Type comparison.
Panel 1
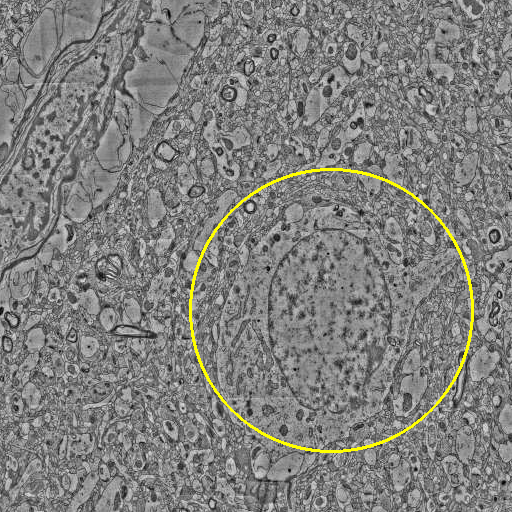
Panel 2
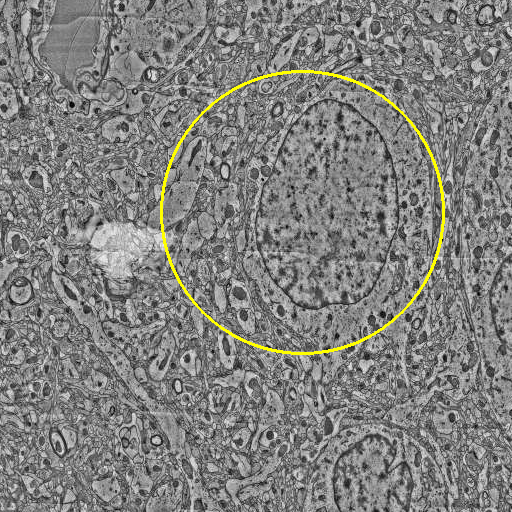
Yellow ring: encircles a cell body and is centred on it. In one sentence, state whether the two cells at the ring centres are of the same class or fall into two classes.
In these panels, the two cells at the ring centres fall into two classes.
